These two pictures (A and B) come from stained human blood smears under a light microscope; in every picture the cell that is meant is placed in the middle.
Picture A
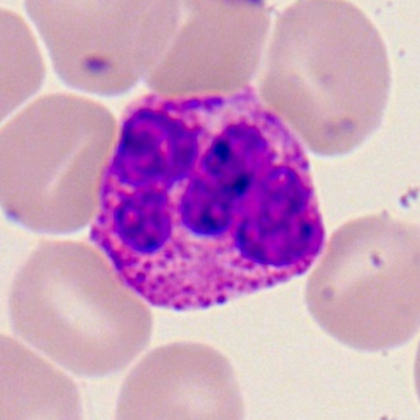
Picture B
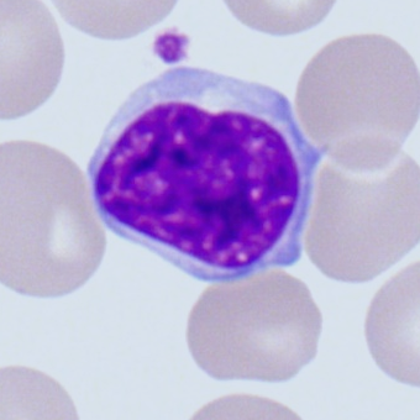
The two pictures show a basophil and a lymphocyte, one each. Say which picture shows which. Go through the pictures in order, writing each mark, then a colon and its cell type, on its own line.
A: basophil
B: lymphocyte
